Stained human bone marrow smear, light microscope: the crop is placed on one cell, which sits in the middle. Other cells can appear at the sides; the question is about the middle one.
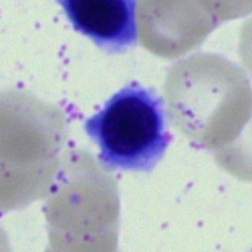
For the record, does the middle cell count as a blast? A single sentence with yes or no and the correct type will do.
No, the centred cell is an erythroblast instead of a blast.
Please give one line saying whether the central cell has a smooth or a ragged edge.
Irregular and not smooth, the cell boundary is ragged or drawn out into projections.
